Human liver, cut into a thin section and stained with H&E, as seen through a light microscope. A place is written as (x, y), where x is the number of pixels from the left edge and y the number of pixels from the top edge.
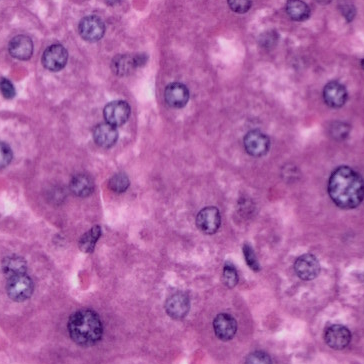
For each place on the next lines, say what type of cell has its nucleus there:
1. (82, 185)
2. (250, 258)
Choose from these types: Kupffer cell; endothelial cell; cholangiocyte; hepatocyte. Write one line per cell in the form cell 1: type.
cell 1: hepatocyte
cell 2: endothelial cell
